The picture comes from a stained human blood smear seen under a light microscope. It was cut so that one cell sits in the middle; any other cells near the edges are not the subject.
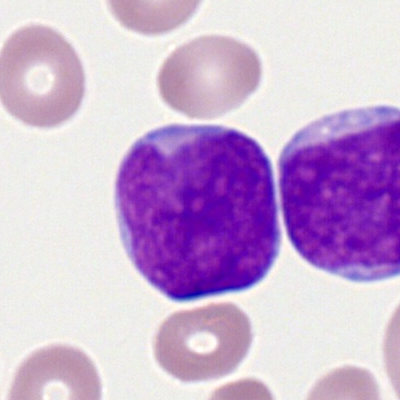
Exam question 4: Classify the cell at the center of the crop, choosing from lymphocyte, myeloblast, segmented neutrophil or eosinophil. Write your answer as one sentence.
The target cell in the middle of the crop is a myeloblast.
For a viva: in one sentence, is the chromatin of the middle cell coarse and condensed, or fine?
Heads up, the chromatin is fine with no coarse clumps in it.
